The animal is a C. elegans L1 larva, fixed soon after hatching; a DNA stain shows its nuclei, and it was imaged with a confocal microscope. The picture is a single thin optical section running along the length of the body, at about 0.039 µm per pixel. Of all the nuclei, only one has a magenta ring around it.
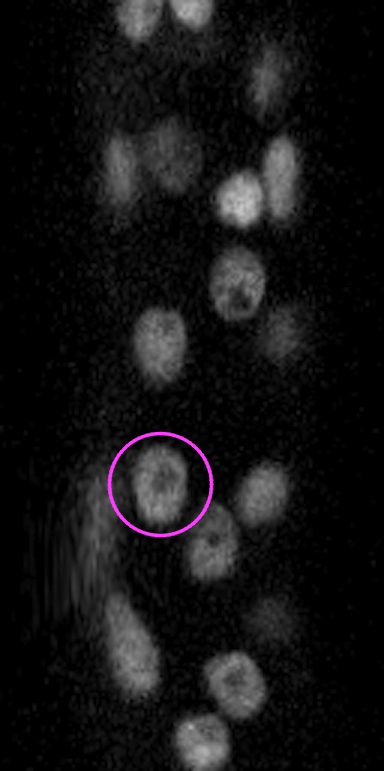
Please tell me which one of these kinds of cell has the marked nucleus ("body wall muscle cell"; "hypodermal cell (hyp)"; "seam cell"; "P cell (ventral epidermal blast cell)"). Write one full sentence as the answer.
It belongs to a seam cell.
